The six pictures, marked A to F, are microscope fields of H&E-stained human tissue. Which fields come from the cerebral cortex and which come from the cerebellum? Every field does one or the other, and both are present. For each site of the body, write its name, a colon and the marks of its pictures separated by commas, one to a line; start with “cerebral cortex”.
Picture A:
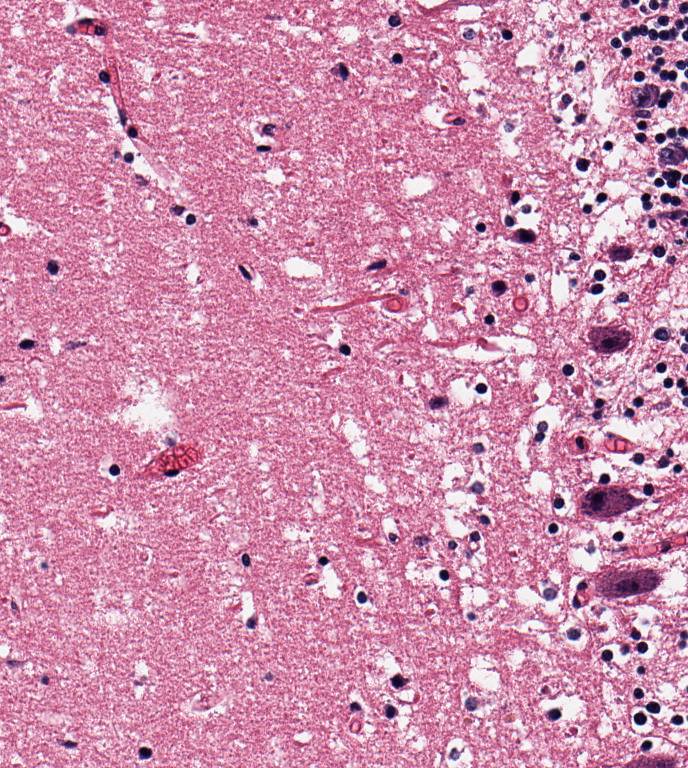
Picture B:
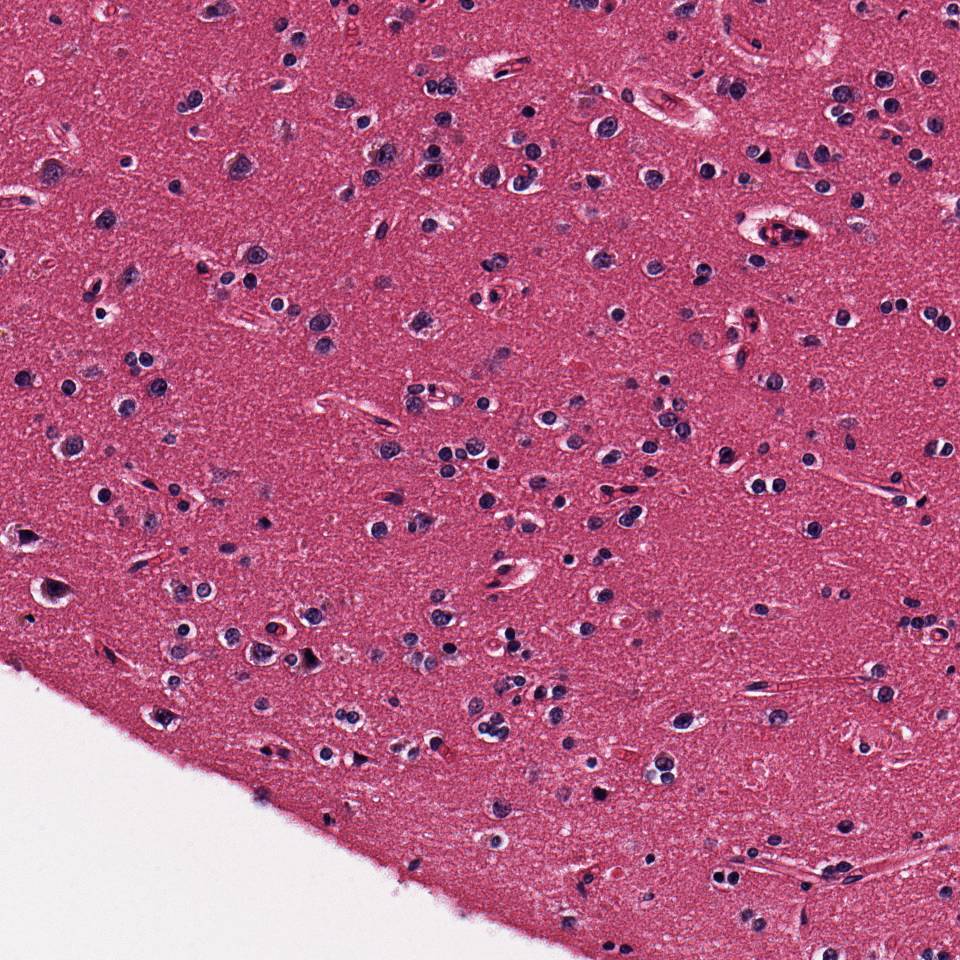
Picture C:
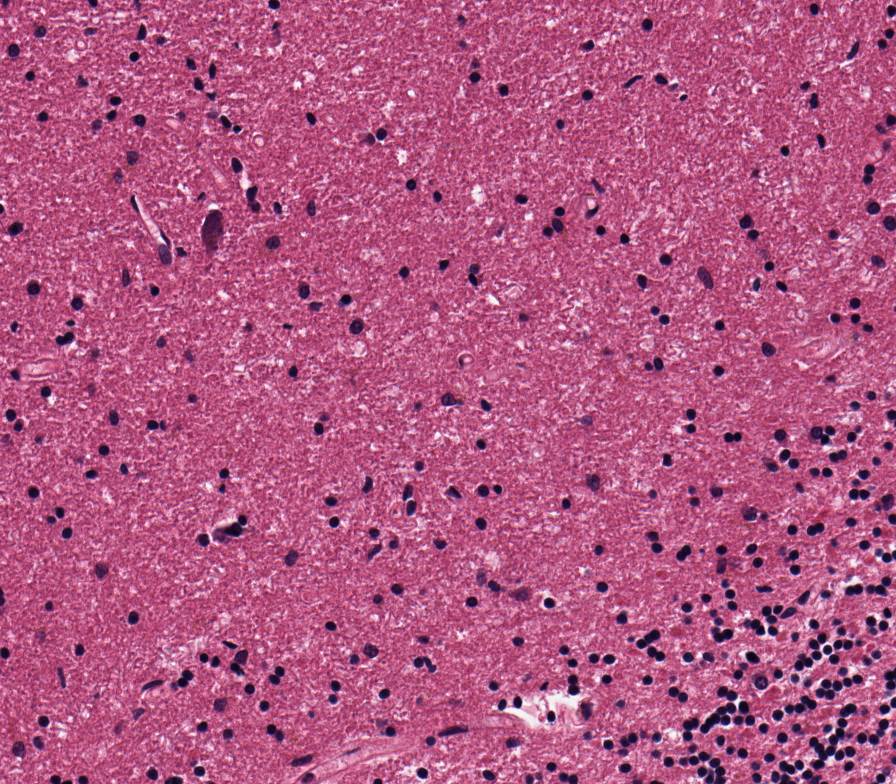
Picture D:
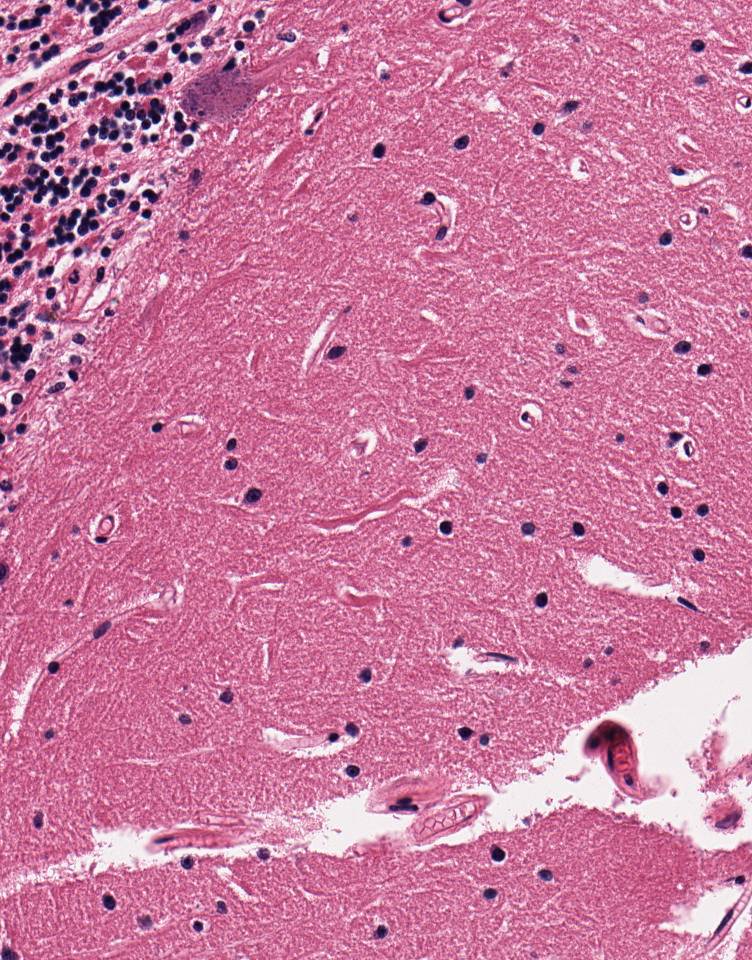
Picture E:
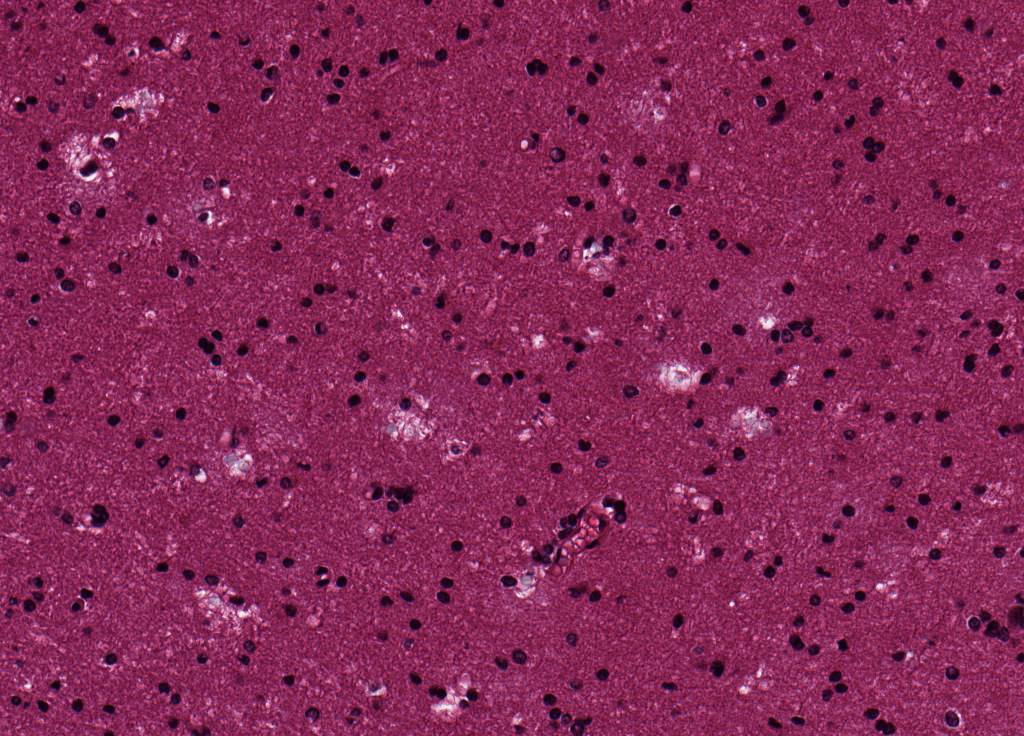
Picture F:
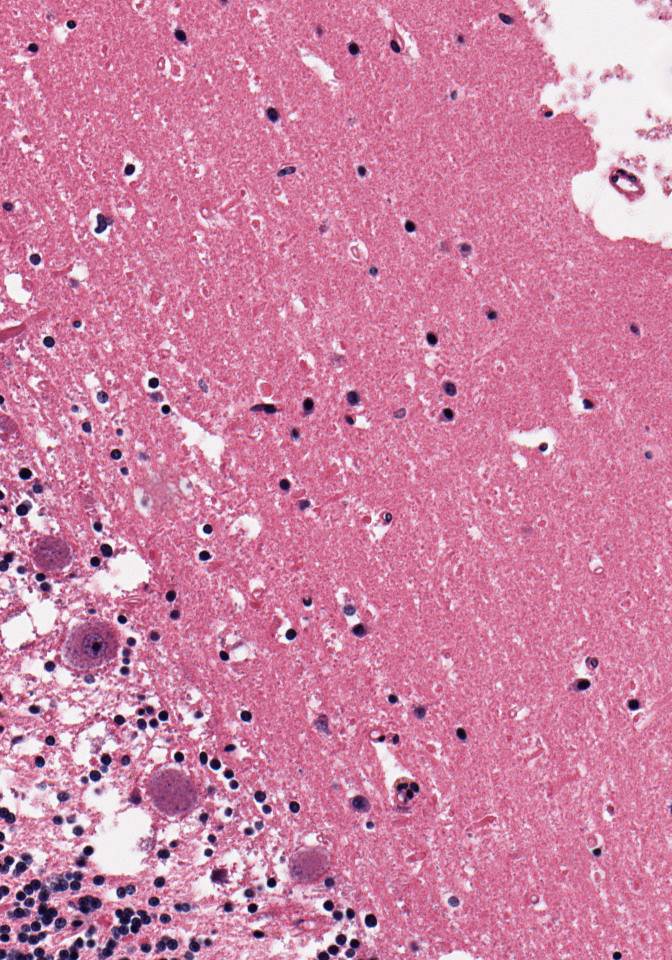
cerebral cortex: B, E
cerebellum: A, C, D, F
